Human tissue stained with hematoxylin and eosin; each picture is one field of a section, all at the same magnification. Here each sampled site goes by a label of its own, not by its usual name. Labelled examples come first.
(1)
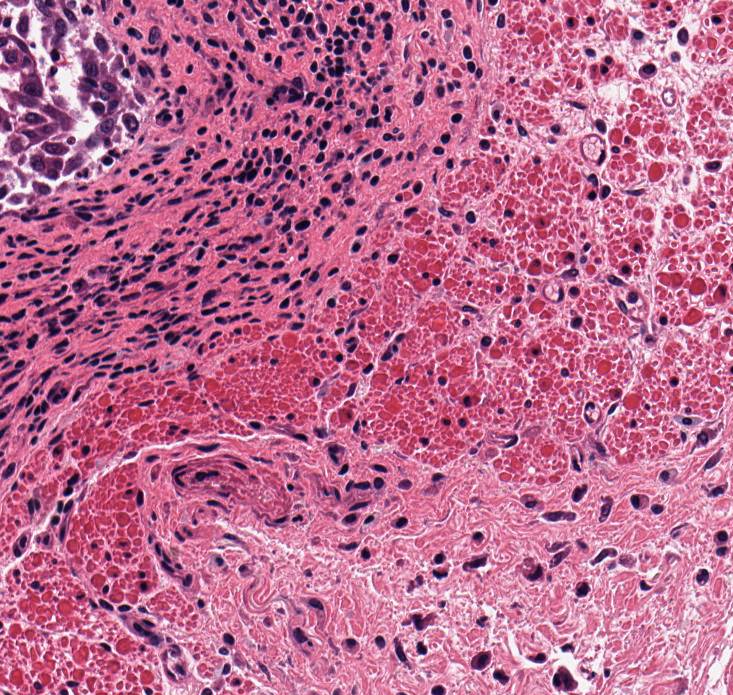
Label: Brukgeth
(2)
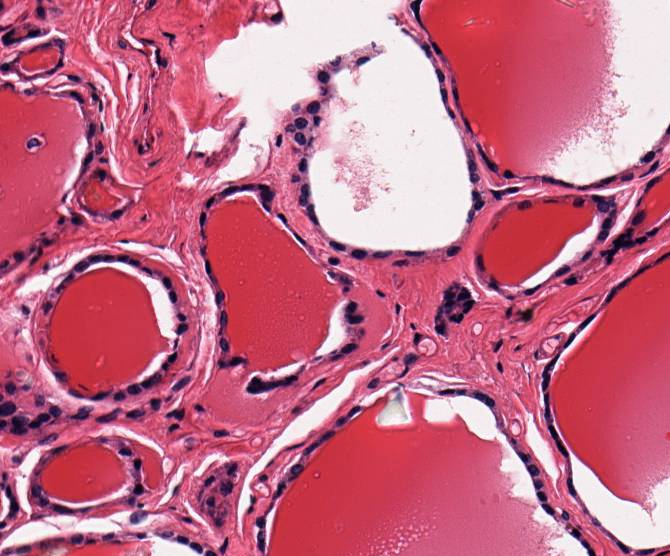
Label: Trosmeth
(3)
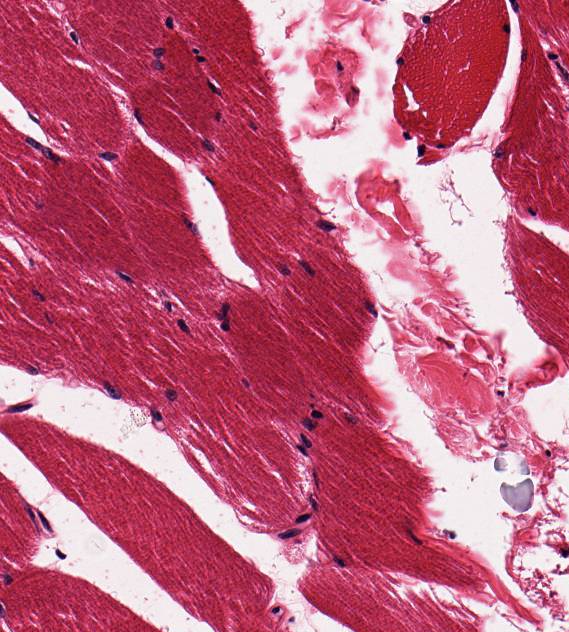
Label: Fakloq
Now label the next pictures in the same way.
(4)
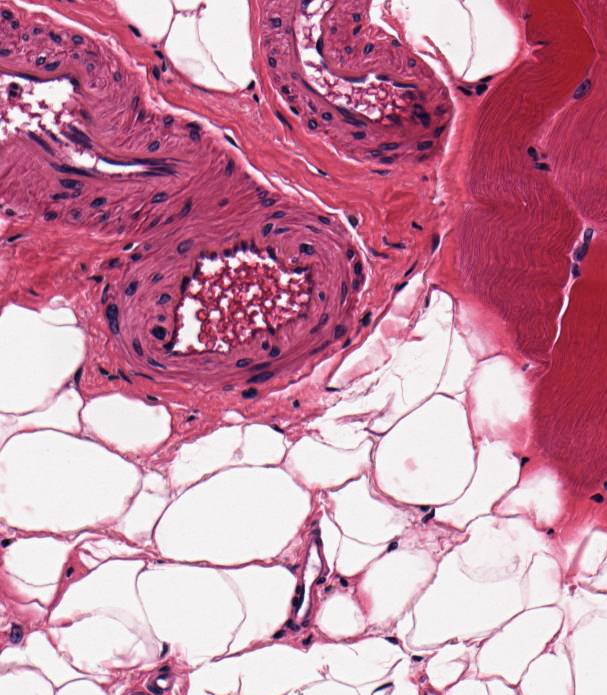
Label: Fakloq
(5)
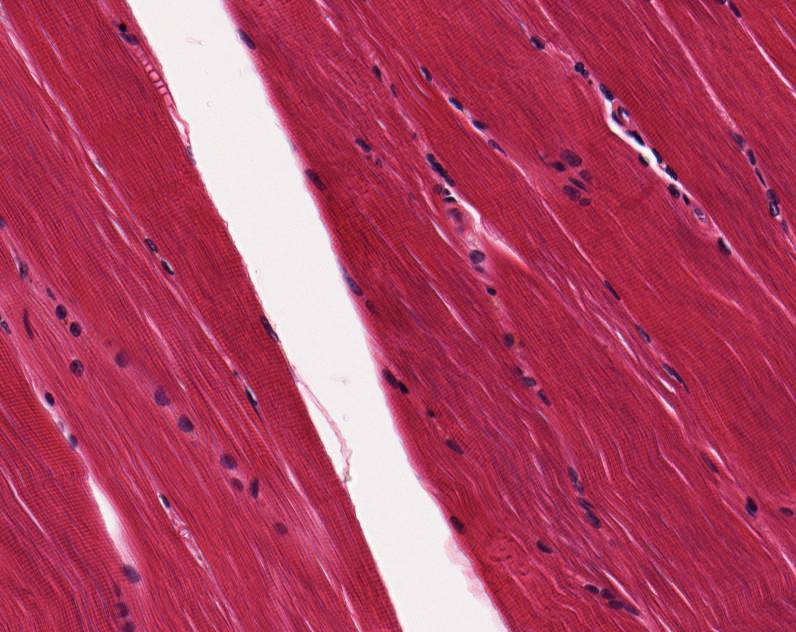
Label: Fakloq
